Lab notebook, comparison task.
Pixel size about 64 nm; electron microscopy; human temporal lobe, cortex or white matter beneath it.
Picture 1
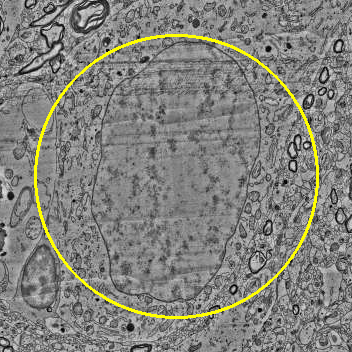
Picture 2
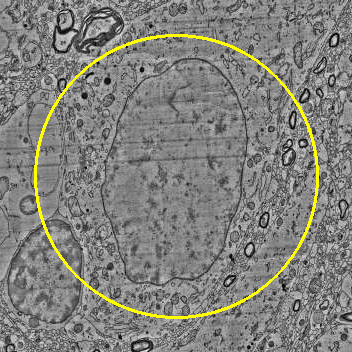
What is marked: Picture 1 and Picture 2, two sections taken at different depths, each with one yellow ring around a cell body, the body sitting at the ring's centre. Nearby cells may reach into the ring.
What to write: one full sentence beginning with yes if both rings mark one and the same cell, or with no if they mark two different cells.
Yes, one single cell is under each of the two rings.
